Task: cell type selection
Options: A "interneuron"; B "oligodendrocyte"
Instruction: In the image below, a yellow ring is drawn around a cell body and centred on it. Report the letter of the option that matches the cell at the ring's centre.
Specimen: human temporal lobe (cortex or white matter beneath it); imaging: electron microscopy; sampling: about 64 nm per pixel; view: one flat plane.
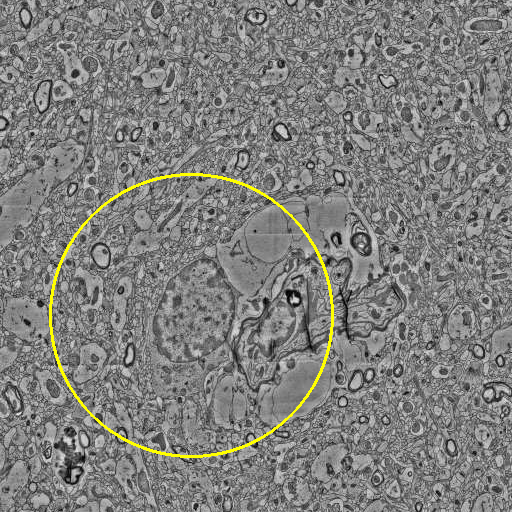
B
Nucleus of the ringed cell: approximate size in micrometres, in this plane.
Approximately 7 by 5 micrometers in this plane.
